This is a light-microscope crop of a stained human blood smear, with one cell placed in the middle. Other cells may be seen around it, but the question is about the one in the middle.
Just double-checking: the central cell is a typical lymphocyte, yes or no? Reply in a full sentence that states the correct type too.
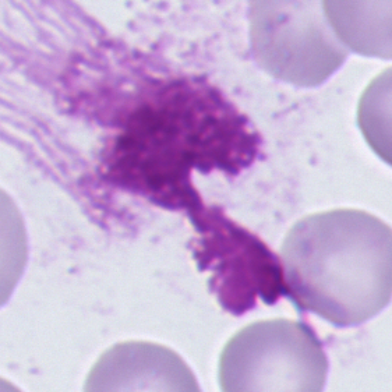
No, what the centre of the crop shows is a smudge cell, not a typical lymphocyte.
